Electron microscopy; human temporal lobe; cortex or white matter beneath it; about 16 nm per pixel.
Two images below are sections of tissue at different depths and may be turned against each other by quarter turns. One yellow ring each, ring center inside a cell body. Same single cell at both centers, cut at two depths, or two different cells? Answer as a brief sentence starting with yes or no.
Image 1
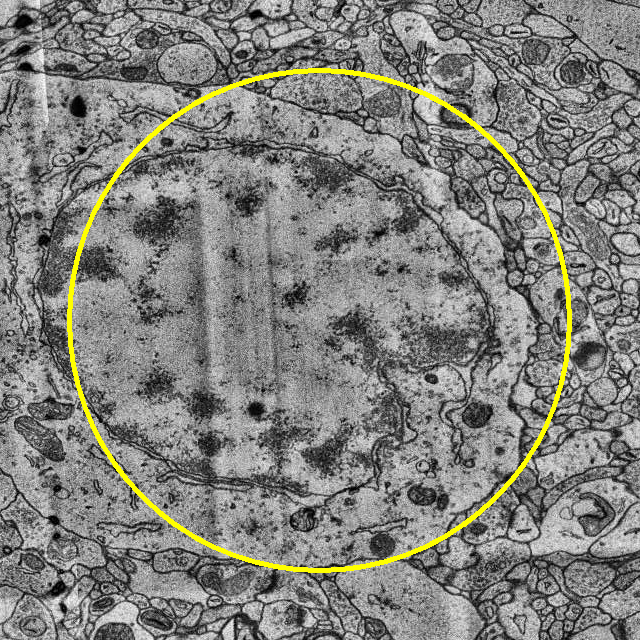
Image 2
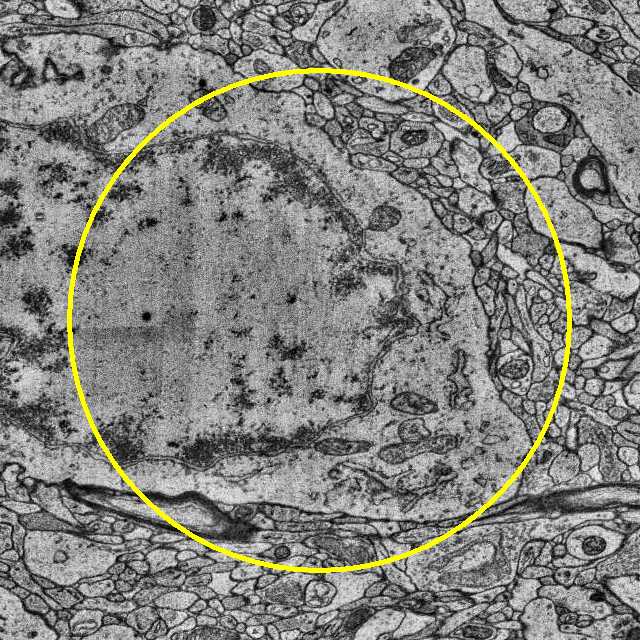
No, the pair of yellow rings marks two distinct cells.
